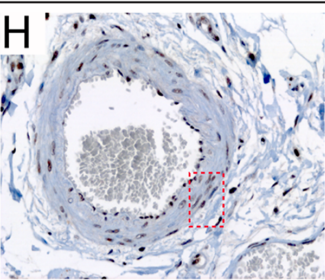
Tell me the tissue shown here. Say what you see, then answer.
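Muscular artery. A round vessel with a thick wall of many concentric cell layers. Elongated nuclei in the wall run around the lumen.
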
